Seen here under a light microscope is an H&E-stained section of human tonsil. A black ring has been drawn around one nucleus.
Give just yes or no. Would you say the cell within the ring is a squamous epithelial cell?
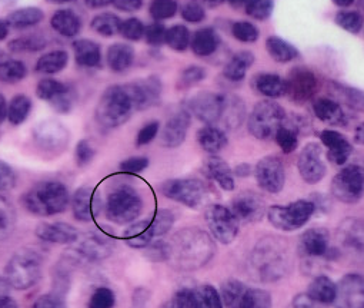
no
